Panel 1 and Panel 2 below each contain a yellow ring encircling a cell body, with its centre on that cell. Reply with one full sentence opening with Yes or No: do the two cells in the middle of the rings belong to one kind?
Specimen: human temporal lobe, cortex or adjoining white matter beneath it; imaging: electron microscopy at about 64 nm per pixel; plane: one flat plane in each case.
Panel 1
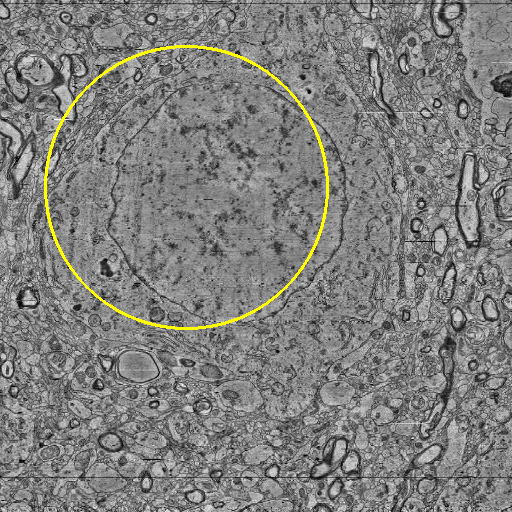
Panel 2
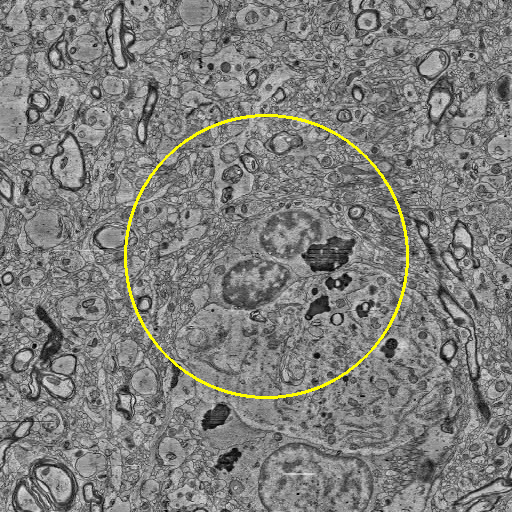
No, the cells at the middle of the Panel 1 ring and the Panel 2 ring are of two kinds.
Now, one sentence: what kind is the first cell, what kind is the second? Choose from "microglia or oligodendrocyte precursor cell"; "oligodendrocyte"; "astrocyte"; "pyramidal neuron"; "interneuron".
The first picture has a pyramidal neuron at its ring centre, and the second has an oligodendrocyte.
